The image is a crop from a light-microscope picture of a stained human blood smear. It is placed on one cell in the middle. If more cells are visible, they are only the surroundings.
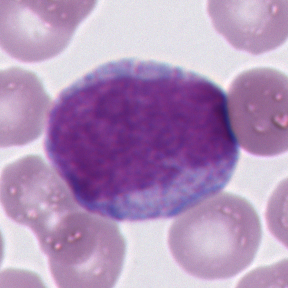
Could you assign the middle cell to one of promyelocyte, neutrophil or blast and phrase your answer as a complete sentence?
Answering briefly, the cell in the middle is a promyelocyte.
